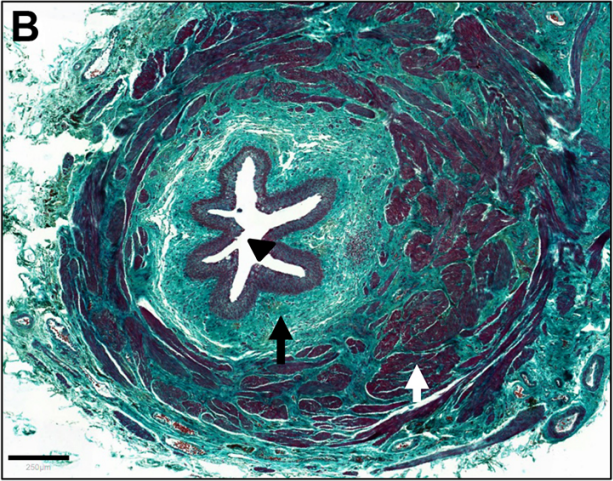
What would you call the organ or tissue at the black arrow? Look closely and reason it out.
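The arrow points at a green-stained zone between the lining and the outer red-purple bundles. So: connective tissue layer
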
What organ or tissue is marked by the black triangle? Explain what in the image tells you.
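The triangle points at a dark multilayered lining around a star-shaped lumen. So: epithelial layer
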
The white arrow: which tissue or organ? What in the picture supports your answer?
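Muscle layer. The arrow points at dark red-purple bundles in the outer wall. The bundles surround the inner green zone in a ring.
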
